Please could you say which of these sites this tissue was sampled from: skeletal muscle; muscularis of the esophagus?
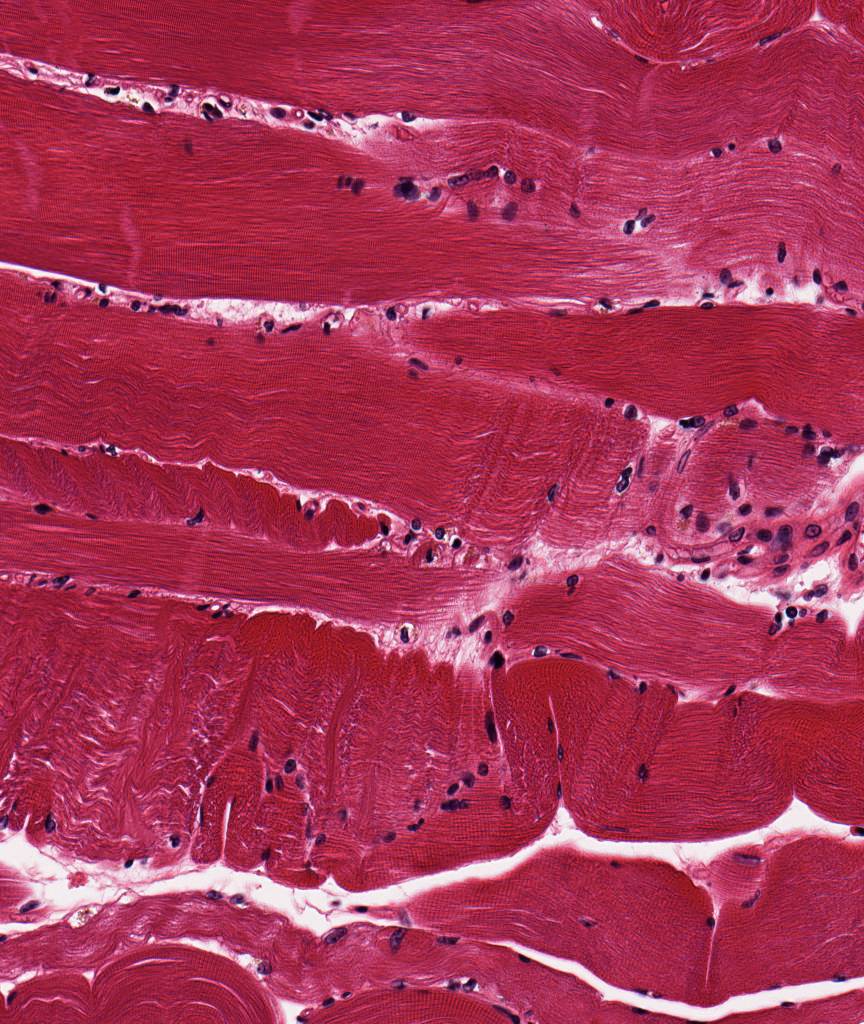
skeletal muscle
